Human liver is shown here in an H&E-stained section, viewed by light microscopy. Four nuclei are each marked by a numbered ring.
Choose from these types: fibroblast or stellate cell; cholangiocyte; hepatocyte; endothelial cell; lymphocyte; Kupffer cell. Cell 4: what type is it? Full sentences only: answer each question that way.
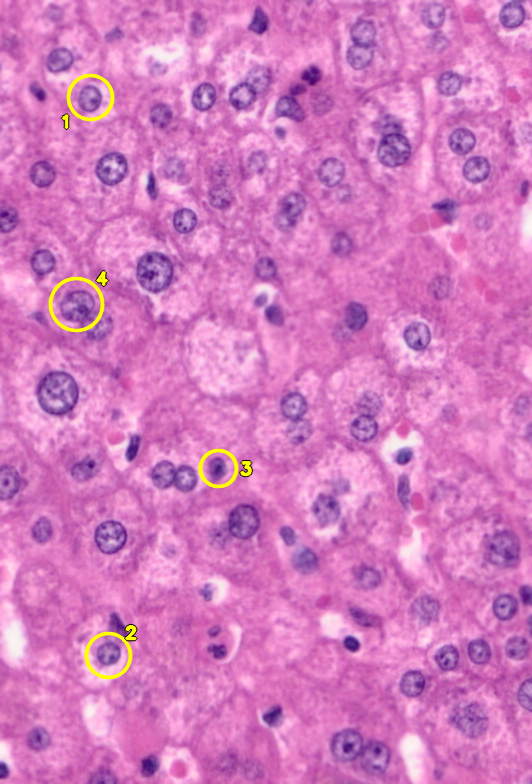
Heads up, the cell numbered 4 is a hepatocyte.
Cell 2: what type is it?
The cell marked with number 2 is a hepatocyte.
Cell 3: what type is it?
As for number 3, that cell is an endothelial cell.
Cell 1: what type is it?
Regarding cell 1, this one is a hepatocyte.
